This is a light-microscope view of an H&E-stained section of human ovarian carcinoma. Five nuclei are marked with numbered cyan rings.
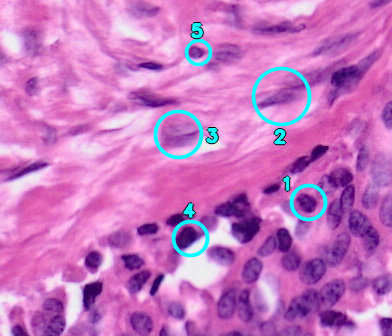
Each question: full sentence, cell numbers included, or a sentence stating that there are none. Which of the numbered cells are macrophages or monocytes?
Cell 1 is a macrophage or monocyte, whereas each of the other numbered cells is not.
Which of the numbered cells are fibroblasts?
The cells tagged 2, 3 and 5 are fibroblasts in this tissue section.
